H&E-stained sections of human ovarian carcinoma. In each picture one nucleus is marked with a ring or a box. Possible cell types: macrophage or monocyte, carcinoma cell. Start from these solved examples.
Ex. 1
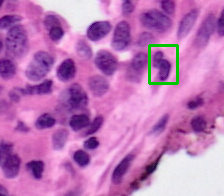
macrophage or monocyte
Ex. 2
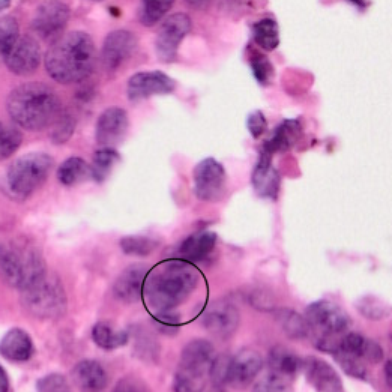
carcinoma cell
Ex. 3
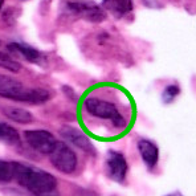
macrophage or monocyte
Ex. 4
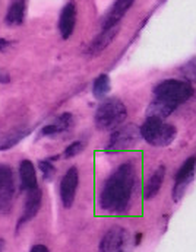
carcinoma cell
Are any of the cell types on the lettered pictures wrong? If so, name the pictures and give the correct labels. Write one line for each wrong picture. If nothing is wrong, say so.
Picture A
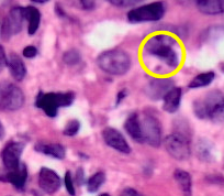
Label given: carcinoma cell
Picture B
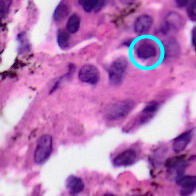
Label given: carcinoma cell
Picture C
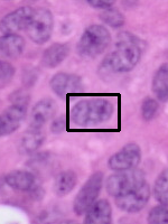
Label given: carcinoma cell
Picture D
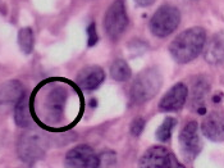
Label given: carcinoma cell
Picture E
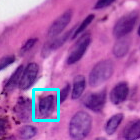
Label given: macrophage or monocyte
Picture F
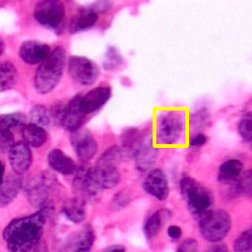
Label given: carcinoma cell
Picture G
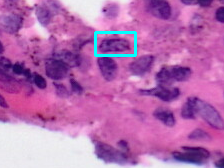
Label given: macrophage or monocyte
F should be macrophage or monocyte, not carcinoma cell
